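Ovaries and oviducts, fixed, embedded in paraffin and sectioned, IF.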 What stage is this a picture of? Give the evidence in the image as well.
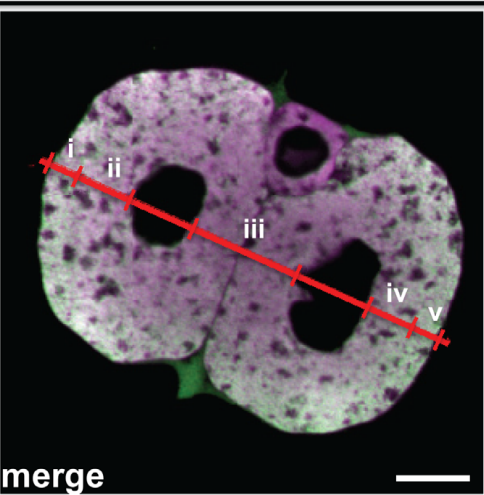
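Two large rounded cells are pressed together along a straight boundary. The pair together forms an oval body. That points to this answer: two-cell embryos.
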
